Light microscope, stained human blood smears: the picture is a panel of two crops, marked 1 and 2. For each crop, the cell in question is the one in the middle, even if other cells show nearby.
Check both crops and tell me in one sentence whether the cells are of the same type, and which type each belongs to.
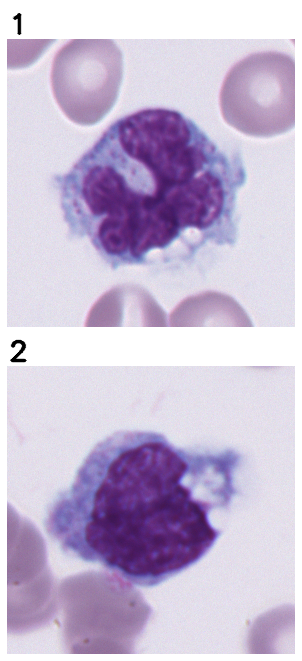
Yes, the reply for both crops is monocytes.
